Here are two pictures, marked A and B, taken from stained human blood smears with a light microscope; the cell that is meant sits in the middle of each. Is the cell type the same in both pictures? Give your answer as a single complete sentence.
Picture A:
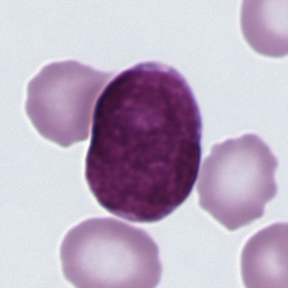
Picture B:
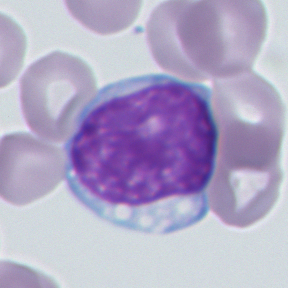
Yes, they are the same type: both are myeloblasts.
